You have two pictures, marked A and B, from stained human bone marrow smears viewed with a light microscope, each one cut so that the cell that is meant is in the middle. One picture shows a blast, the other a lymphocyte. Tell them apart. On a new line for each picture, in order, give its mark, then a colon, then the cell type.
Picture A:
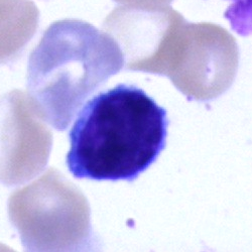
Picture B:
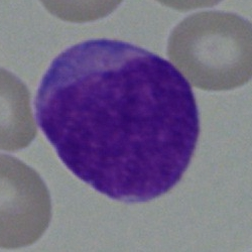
A: lymphocyte
B: blast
